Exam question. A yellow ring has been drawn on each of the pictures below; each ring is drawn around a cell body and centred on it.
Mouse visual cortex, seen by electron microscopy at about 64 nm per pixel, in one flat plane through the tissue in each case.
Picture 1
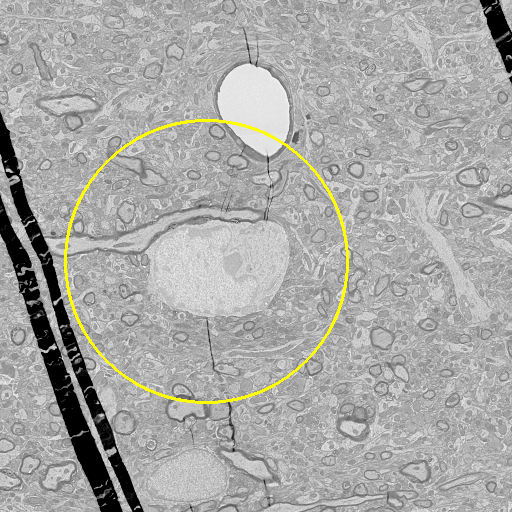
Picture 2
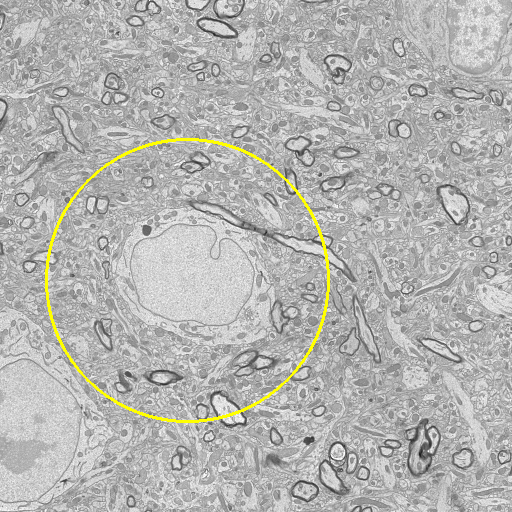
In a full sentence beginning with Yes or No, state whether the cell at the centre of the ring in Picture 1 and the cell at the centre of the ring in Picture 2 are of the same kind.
No, the cells are of two kinds.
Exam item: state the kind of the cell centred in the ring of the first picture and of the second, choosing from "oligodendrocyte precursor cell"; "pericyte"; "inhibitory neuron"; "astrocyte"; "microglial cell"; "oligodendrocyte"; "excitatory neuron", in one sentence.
The first picture shows an astrocyte at the ring centre and the second shows an excitatory neuron.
